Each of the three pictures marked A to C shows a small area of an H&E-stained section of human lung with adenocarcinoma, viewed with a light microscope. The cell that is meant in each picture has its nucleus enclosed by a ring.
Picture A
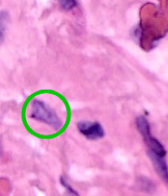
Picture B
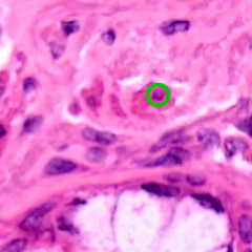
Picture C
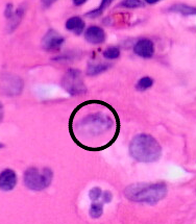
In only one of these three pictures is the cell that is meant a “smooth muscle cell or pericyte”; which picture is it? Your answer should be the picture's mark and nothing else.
B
